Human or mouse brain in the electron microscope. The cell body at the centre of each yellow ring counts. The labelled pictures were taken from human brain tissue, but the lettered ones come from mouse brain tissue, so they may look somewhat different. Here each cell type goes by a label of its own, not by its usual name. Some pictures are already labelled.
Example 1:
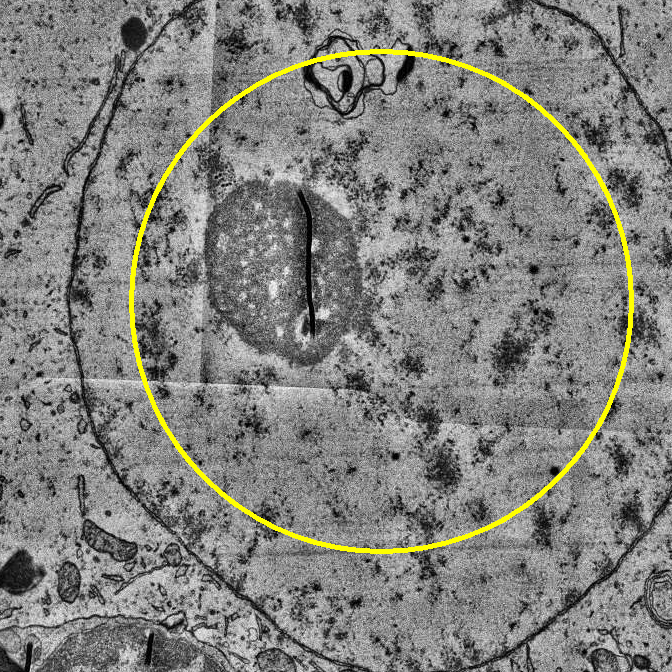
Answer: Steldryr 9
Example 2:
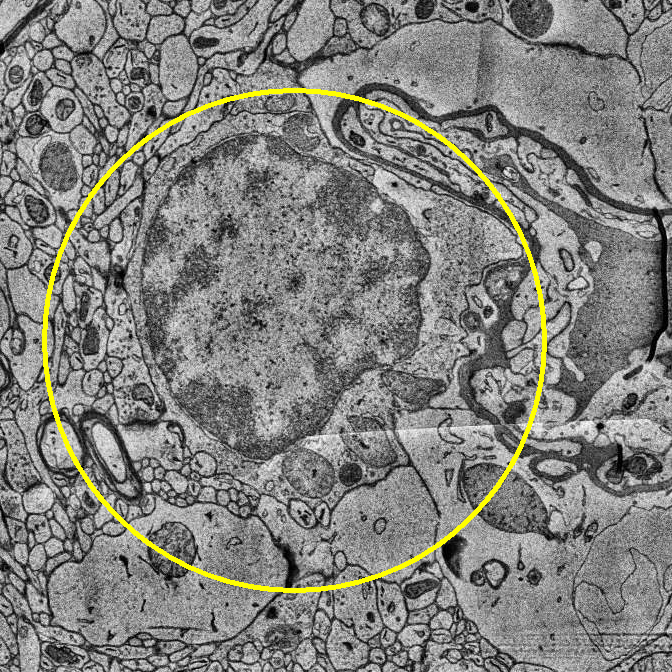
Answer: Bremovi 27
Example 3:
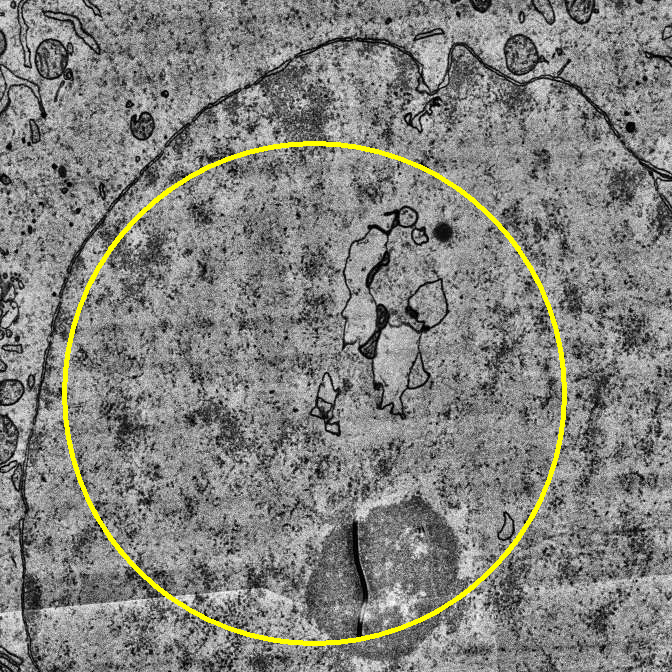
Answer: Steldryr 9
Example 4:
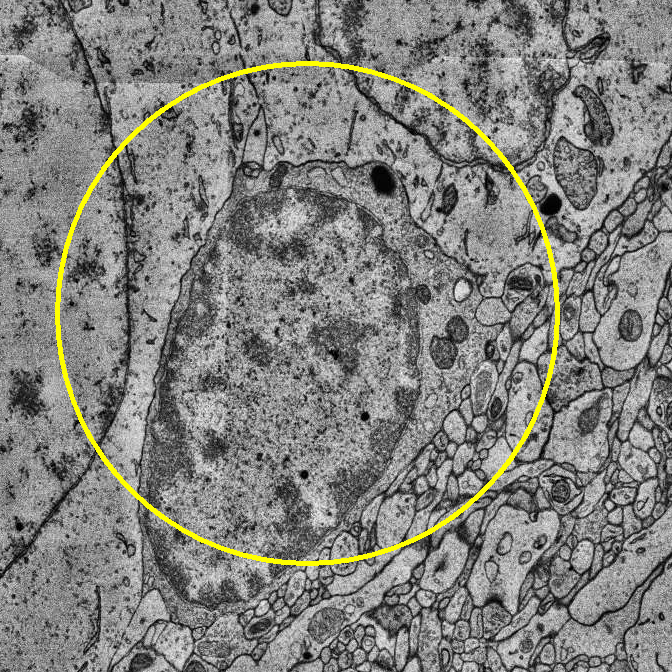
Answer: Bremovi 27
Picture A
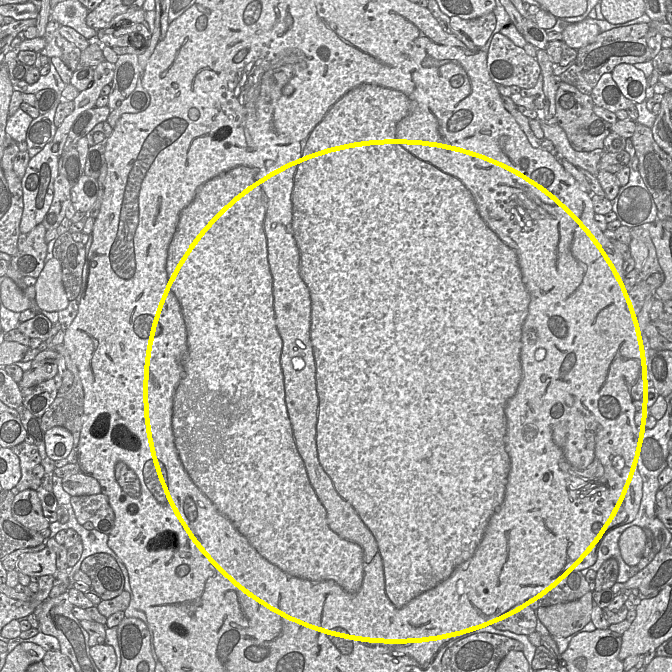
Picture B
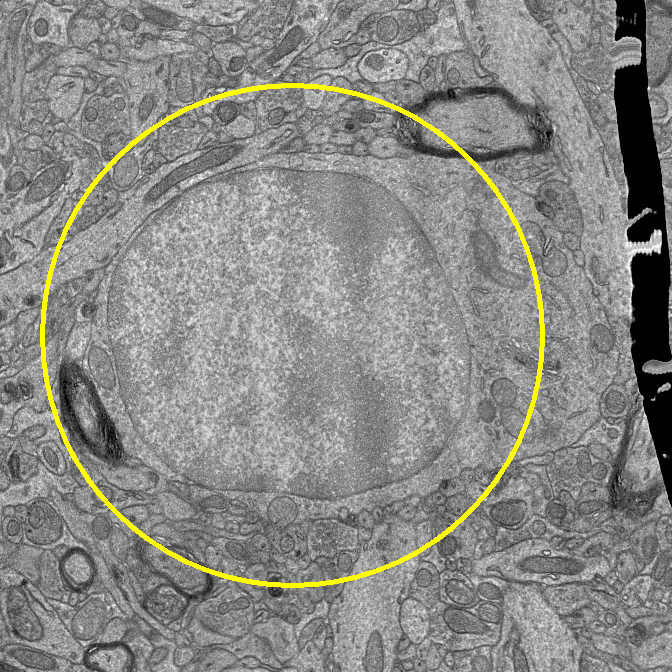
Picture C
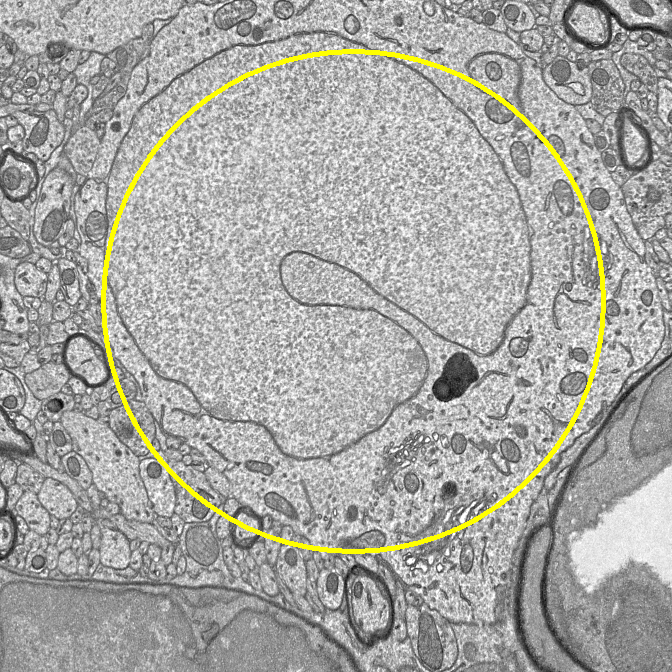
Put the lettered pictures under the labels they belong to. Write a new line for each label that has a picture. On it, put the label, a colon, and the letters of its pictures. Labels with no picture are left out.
Steldryr 9: A, C
Bremovi 27: B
